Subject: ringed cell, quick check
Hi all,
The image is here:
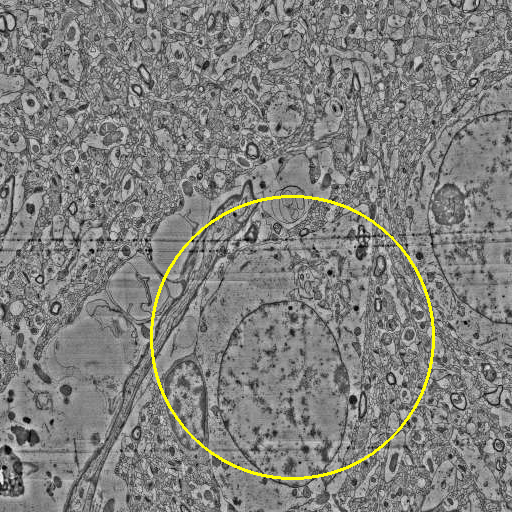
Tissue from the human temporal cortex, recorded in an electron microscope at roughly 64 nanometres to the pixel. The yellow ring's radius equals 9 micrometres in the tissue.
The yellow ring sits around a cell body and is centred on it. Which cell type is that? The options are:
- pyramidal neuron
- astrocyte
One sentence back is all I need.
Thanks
That ringed cell is a pyramidal neuron.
